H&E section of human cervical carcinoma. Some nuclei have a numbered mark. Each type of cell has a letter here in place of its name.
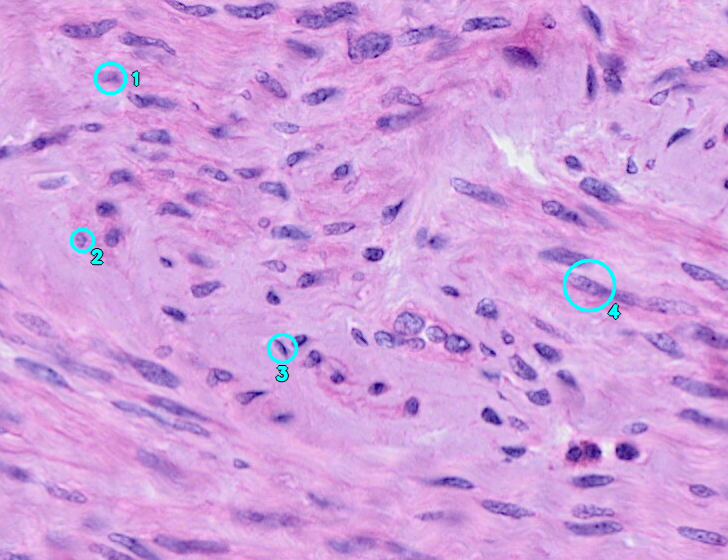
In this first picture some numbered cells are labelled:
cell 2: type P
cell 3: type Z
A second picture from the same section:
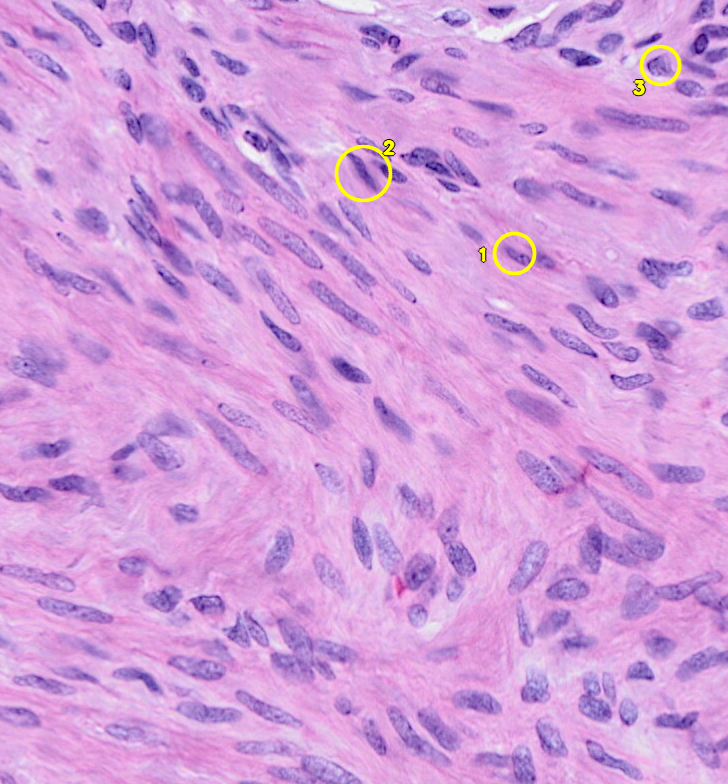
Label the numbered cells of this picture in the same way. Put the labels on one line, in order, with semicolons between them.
type P; type Z; type Z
